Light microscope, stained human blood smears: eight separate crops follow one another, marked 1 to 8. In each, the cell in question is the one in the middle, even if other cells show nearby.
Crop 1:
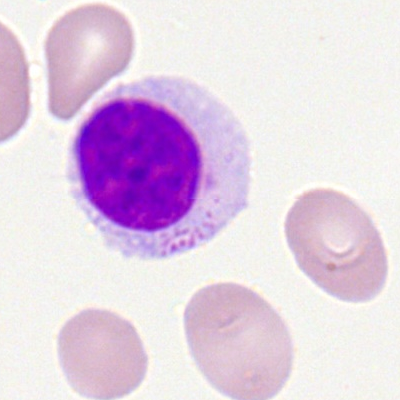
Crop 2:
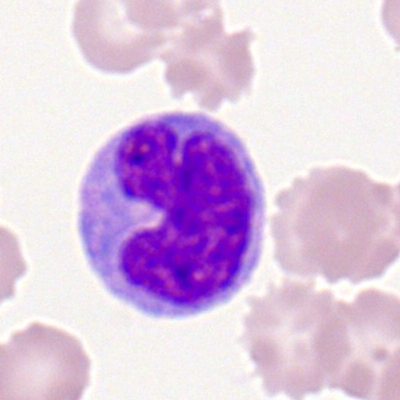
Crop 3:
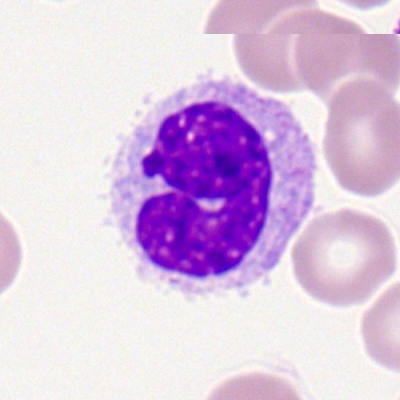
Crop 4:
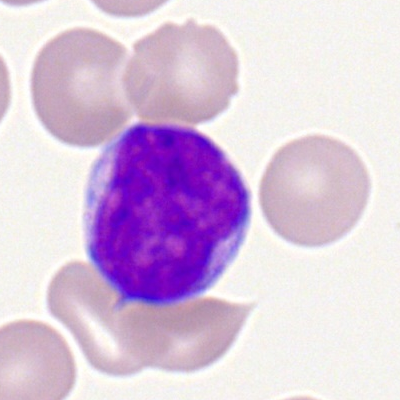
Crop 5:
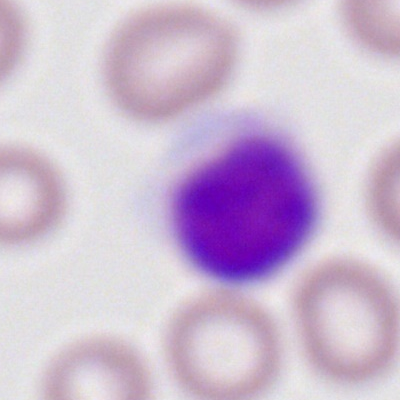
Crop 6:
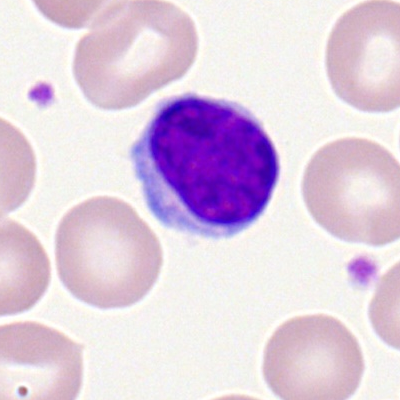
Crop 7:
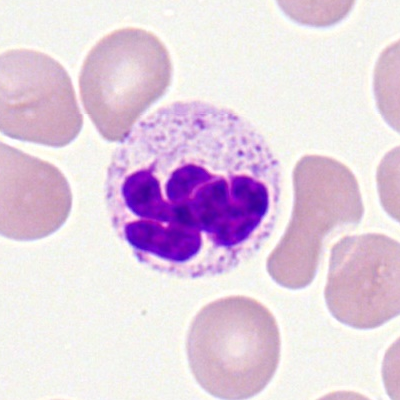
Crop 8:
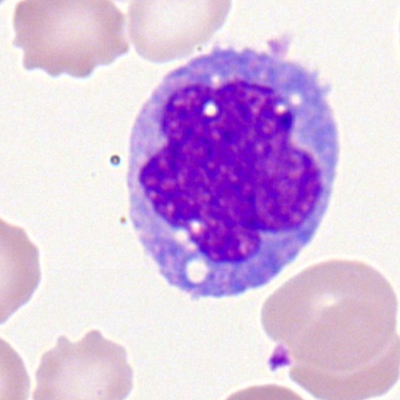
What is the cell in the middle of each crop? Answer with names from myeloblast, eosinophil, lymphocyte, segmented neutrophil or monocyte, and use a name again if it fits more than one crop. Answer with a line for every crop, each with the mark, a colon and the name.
1: lymphocyte
2: monocyte
3: monocyte
4: myeloblast
5: lymphocyte
6: lymphocyte
7: segmented neutrophil
8: monocyte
